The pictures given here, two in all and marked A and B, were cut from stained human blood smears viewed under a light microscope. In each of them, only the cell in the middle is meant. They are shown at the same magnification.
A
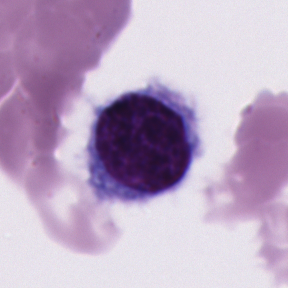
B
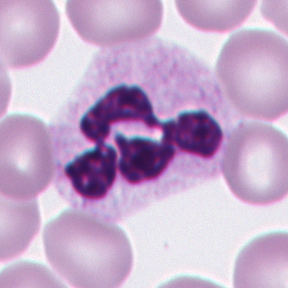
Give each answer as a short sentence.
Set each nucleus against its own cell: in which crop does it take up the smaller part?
Of the two, the nucleus in crop B leaves more room for cytoplasm.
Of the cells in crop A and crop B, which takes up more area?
Crop B holds the larger cell; it covers about 2.5 times the area of the cell in crop A.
